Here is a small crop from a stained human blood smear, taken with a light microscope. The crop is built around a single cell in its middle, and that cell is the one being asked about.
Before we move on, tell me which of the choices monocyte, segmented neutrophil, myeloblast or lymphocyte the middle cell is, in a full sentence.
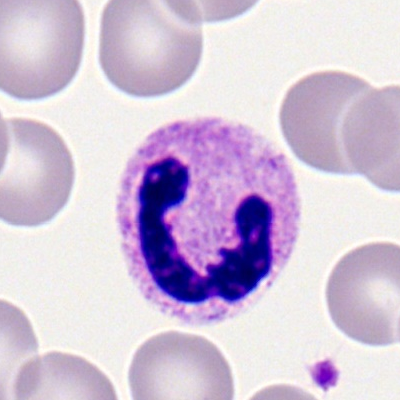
The centrally placed cell is classified as a segmented neutrophil.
